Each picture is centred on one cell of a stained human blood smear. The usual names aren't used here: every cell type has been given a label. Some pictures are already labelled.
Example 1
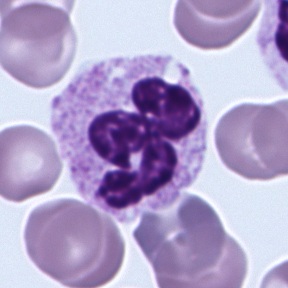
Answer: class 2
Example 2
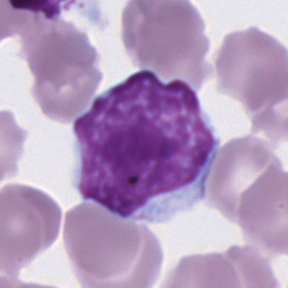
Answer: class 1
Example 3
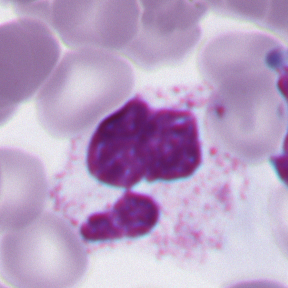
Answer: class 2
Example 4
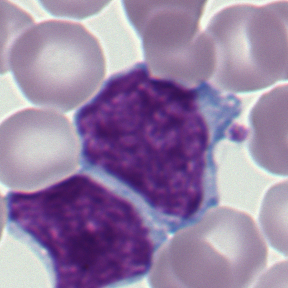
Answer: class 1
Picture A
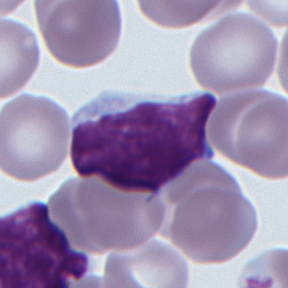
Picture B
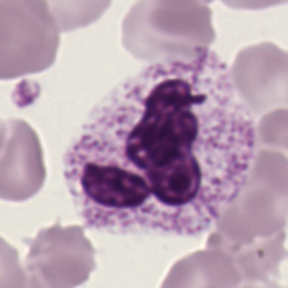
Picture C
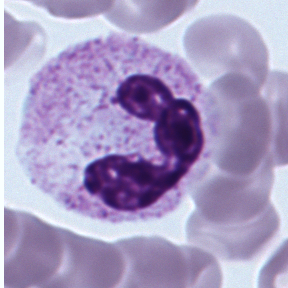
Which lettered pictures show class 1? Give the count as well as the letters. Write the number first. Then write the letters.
1: A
